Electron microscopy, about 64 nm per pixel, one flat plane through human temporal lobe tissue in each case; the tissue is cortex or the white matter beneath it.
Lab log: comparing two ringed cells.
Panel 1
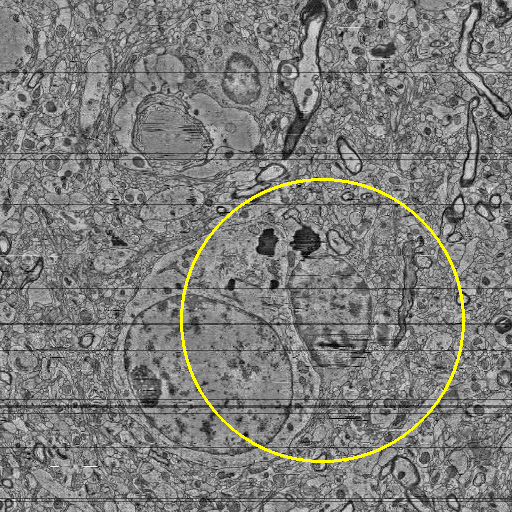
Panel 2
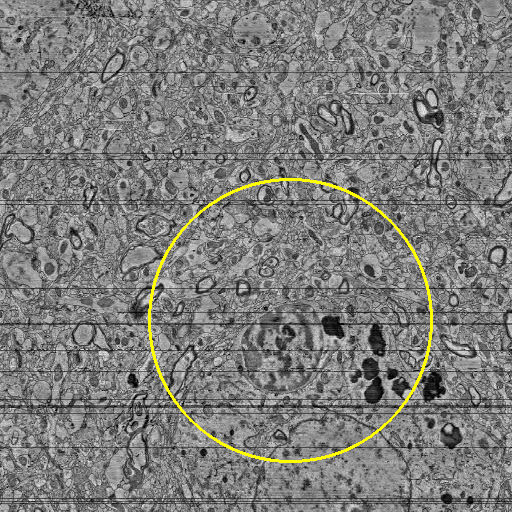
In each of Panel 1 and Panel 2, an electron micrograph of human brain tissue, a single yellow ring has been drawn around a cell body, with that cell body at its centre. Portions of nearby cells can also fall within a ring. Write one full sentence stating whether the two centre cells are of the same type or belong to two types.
The cells at the ring centres in Panel 1 and Panel 2 are of the same type.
